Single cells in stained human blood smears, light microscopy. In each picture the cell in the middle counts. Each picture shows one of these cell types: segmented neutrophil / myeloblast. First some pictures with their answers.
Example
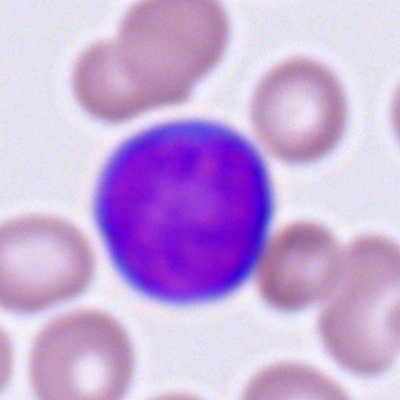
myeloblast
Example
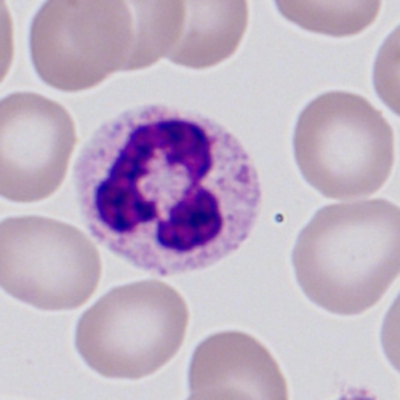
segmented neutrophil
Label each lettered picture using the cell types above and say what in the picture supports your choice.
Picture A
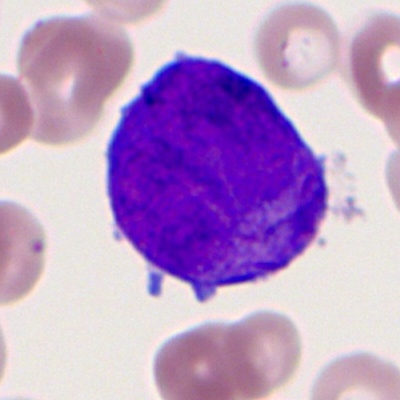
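myeloblast: The nucleus fills almost the whole cell, leaving hardly any visible cytoplasm.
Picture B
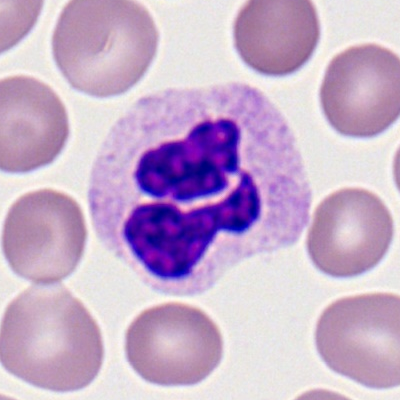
segmented neutrophil: Abundant pale pinkish-lilac cytoplasm surrounds the nucleus on all sides.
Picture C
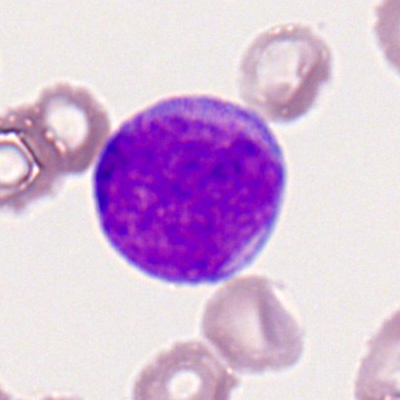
myeloblast: The thin rim of cytoplasm along the upper edge is blue.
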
